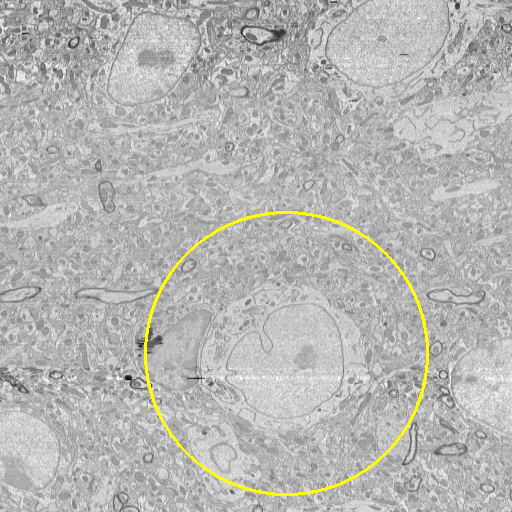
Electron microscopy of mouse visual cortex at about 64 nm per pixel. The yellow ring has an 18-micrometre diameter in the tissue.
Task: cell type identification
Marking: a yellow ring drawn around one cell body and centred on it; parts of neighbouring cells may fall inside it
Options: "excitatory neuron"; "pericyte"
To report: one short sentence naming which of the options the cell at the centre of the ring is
The cell at the centre of the ring is an excitatory neuron.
